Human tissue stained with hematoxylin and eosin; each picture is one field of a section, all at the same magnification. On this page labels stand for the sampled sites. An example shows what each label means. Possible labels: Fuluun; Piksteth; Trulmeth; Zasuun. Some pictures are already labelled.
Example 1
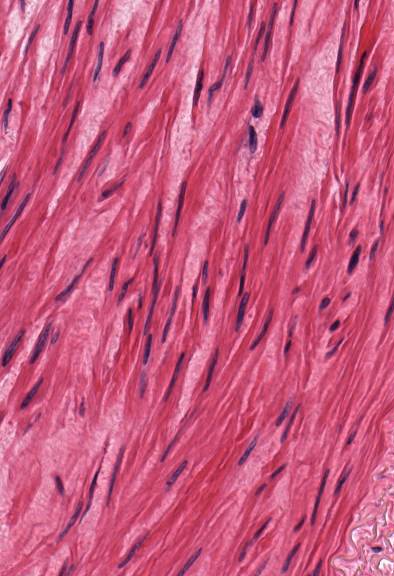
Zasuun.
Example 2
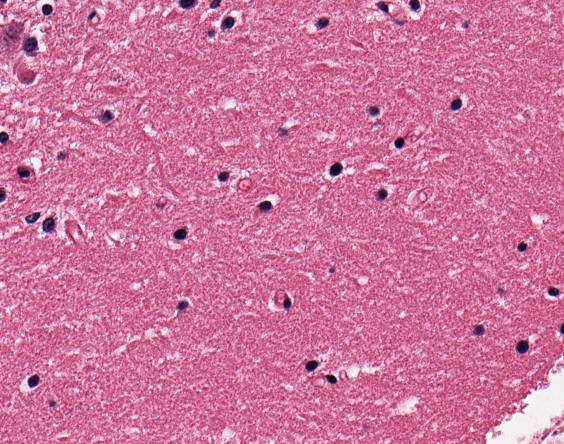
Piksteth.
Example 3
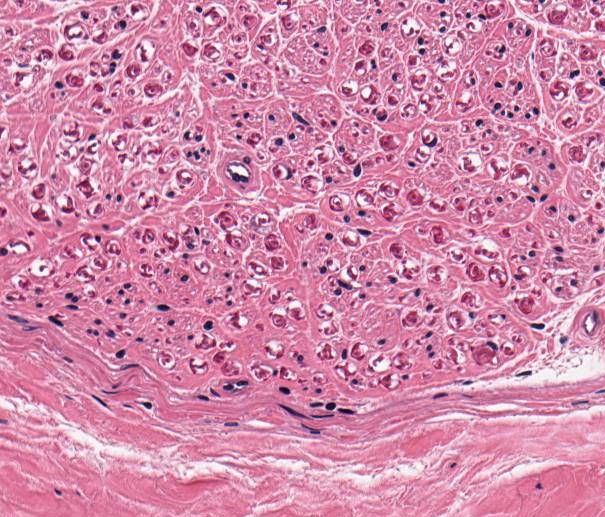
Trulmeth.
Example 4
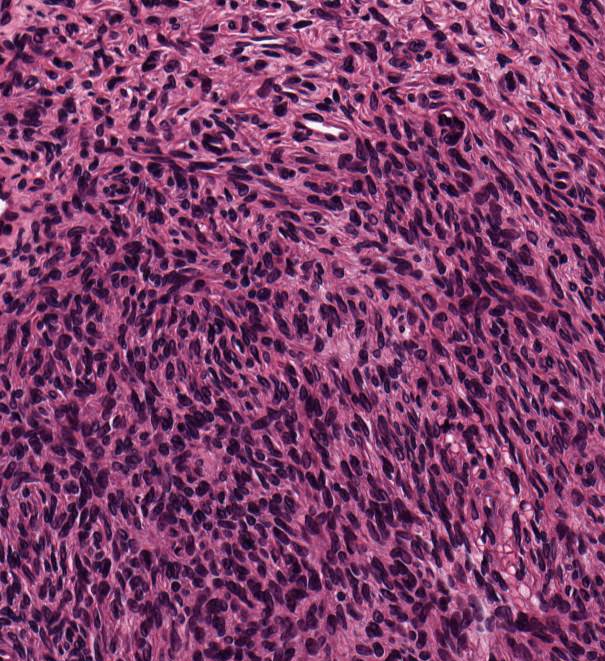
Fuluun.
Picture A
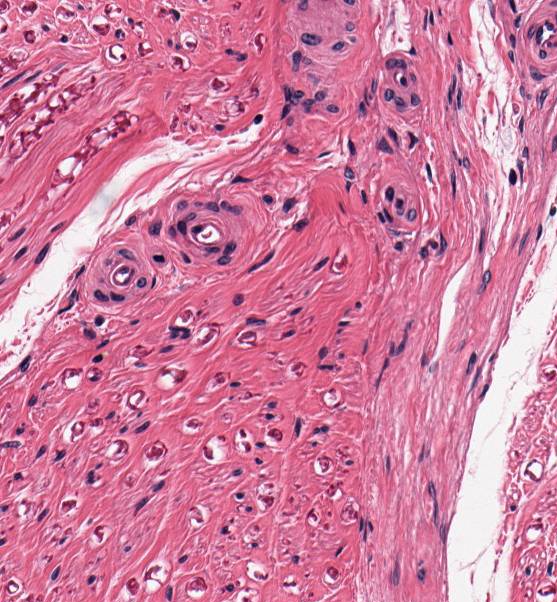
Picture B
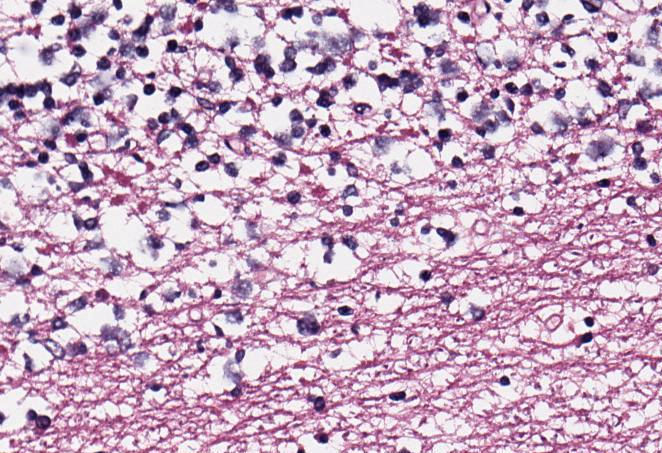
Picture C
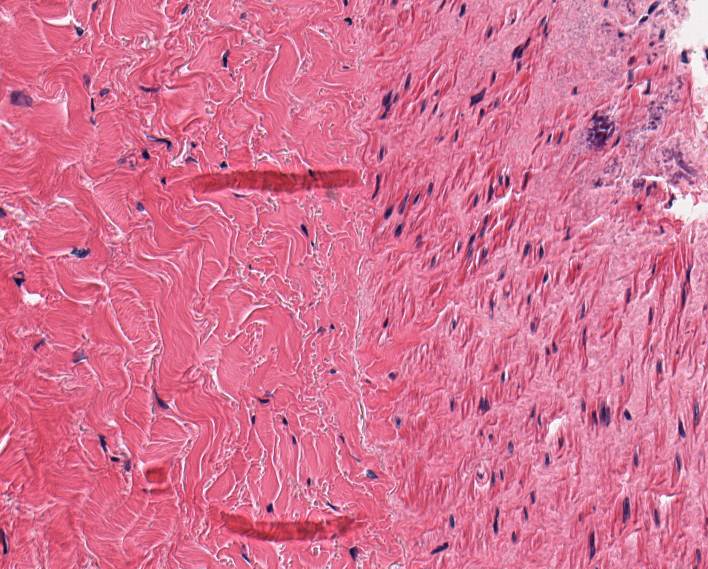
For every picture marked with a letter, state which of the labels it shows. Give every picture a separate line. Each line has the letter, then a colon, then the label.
A: Trulmeth.
B: Piksteth.
C: Zasuun.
